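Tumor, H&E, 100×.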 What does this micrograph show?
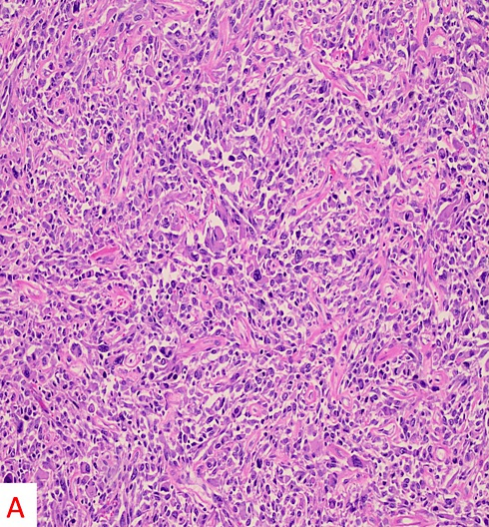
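Some cells are plump and rounded, others spindled, and a few larger cells with big dark nuclei stand out. Thin strands of pink collagen run irregularly between groups of cells, with no orderly normal tissue pattern.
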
